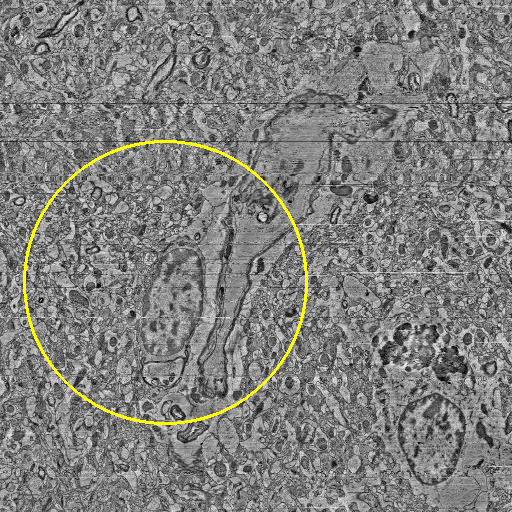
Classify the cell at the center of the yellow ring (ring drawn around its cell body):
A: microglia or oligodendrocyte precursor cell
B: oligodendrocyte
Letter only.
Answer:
B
